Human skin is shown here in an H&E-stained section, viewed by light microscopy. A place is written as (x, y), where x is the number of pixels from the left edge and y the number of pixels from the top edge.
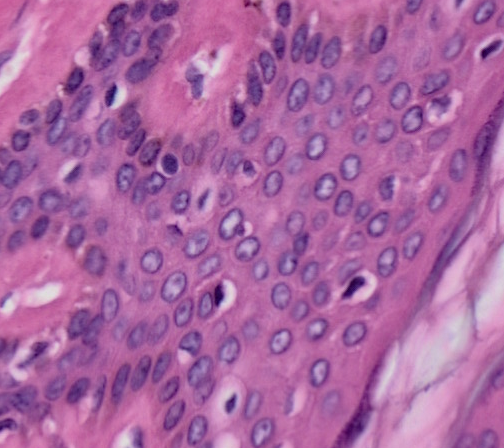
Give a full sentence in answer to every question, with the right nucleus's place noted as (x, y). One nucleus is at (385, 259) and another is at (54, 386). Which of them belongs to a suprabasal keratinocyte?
Of the pair, the nucleus located at (385, 259) belongs to a suprabasal keratinocyte.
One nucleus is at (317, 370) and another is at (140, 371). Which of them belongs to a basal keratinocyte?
The nucleus at position (140, 371) belongs to a basal keratinocyte.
